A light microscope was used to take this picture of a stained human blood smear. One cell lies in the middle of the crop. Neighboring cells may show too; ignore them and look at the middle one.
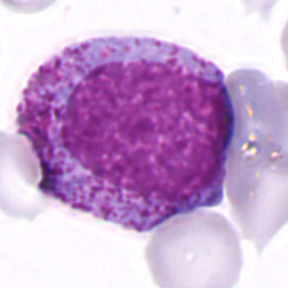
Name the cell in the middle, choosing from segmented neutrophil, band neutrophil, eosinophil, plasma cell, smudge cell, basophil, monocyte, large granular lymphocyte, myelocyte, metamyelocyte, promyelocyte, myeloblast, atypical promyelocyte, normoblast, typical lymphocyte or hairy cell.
promyelocyte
